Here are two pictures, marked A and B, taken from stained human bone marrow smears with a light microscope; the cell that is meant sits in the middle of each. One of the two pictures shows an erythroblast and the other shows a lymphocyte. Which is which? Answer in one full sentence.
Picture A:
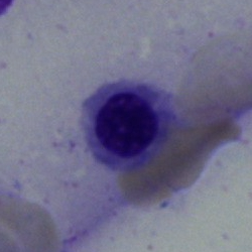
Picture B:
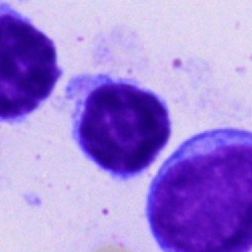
It is picture A that shows an erythroblast, and picture B that shows a lymphocyte.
